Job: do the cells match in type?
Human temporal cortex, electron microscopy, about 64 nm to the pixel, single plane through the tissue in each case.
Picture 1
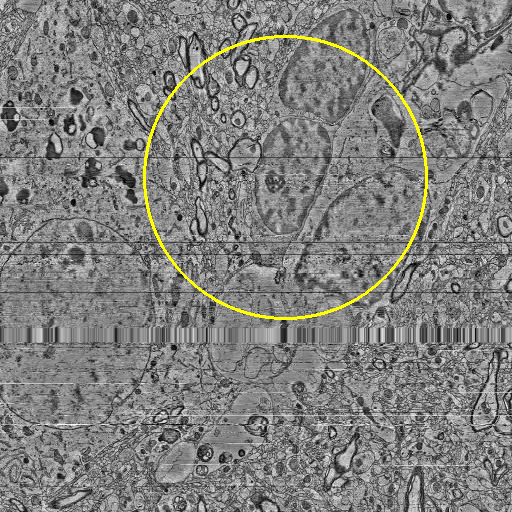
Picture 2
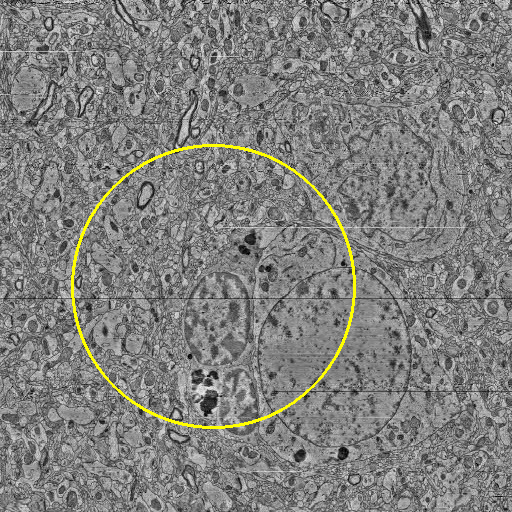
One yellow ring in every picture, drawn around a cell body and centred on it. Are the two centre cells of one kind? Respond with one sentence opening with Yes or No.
Yes, the ringed cells in the two pictures are of one and the same kind.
